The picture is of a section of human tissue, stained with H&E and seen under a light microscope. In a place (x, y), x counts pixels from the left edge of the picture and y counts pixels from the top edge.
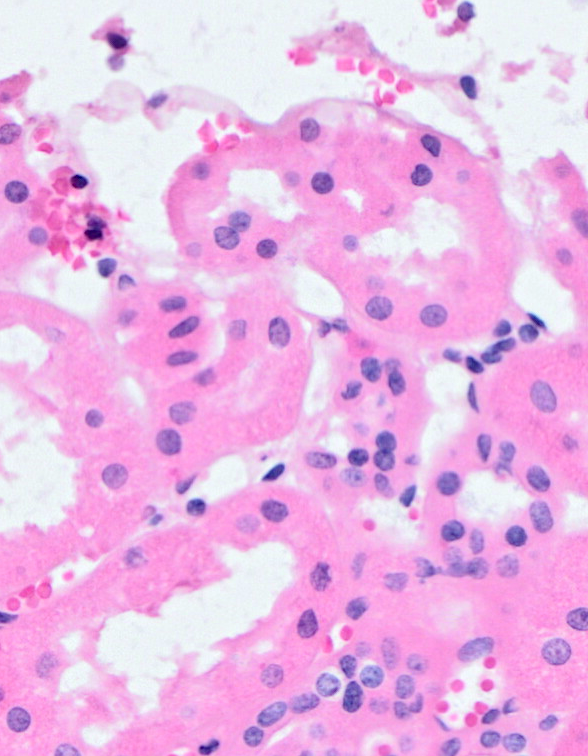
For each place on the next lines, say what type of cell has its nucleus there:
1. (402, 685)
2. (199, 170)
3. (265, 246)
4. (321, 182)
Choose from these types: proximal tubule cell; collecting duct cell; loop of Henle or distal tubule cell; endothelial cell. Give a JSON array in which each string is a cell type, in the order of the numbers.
["collecting duct cell", "proximal tubule cell", "proximal tubule cell", "proximal tubule cell"]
